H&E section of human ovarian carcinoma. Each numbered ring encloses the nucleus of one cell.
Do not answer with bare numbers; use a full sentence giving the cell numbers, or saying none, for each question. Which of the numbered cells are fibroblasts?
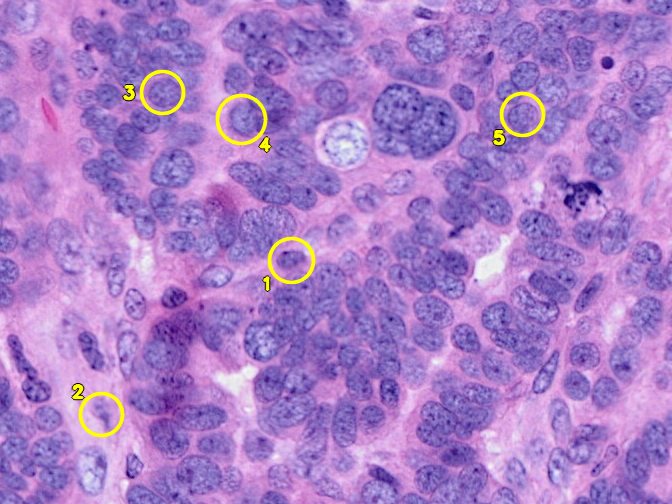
The numbered cell that is a fibroblast is cell 2, and it is the only one.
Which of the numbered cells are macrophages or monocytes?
Across all the numbered cells, only number 1 is a macrophage or monocyte.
